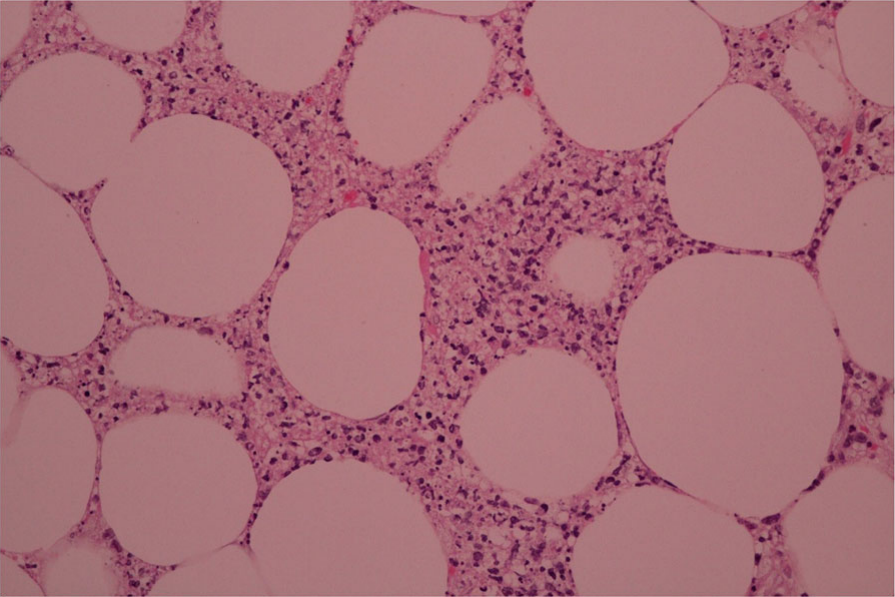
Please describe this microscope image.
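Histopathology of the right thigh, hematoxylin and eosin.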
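Large, clear, rounded fat cells of varying size fill the field, separated by pink strands and wider pale pink, somewhat foamy zones. These zones are crowded with small cells with dark, irregular nuclei, densest in the centre, and contain a few small red blood vessels. This is subcutaneous fat with heavy neutrophil infiltration among the fat cells.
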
